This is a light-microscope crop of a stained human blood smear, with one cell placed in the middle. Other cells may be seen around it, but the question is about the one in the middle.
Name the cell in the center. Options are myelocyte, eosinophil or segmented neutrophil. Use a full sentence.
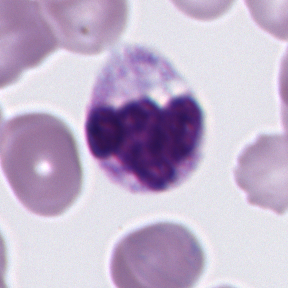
The cell positioned in the middle of the field is a segmented neutrophil.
